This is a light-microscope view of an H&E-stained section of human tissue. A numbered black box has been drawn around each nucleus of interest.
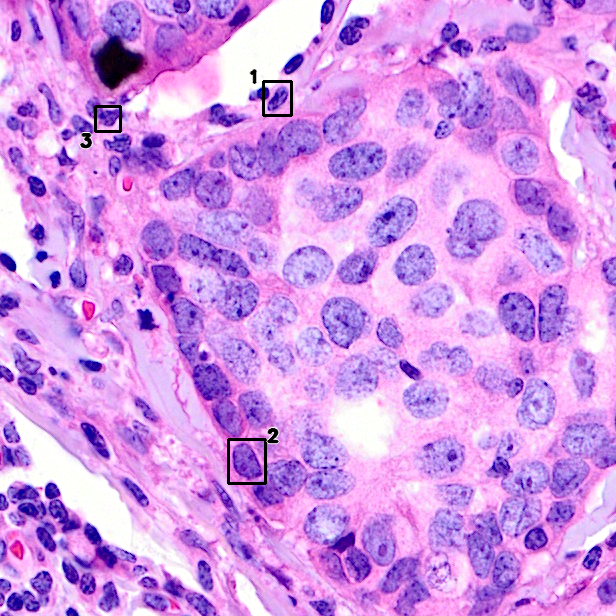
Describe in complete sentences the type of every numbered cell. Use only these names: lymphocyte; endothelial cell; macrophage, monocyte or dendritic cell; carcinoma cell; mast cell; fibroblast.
Cell 1 is a lymphocyte, cell 2 is a carcinoma cell and cell 3 is a lymphocyte.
